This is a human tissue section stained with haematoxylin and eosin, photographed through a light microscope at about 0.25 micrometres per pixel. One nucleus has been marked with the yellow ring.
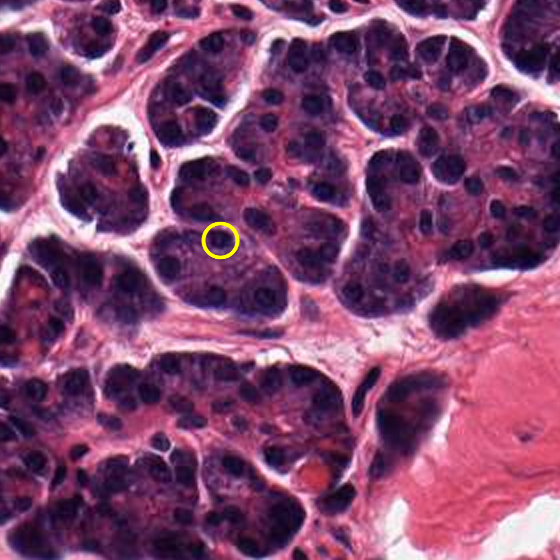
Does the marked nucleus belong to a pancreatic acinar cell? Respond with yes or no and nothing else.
yes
